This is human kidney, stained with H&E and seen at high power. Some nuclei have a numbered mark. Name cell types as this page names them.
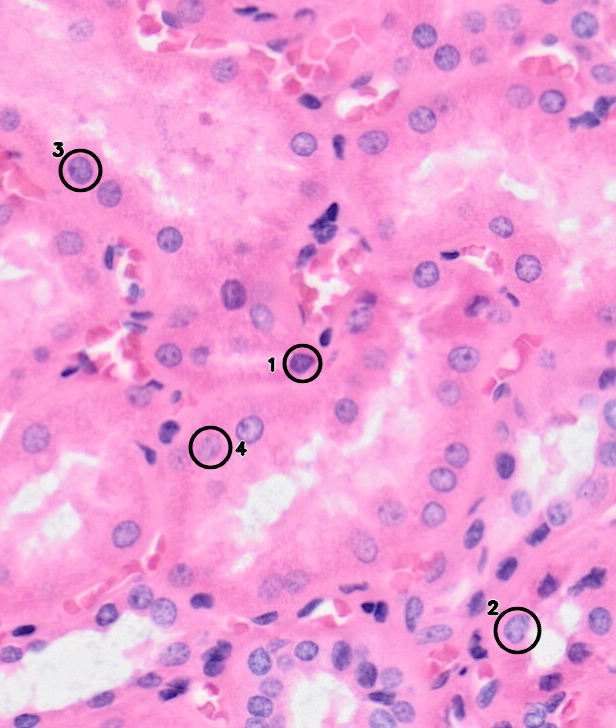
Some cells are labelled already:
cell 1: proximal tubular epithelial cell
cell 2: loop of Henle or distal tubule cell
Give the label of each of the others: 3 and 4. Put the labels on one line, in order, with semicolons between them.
proximal tubular epithelial cell; proximal tubular epithelial cell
